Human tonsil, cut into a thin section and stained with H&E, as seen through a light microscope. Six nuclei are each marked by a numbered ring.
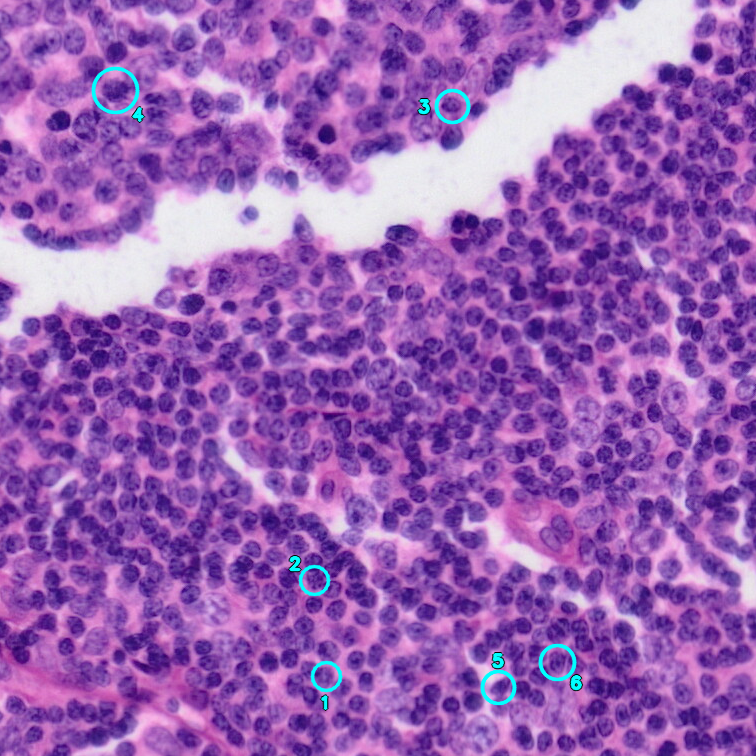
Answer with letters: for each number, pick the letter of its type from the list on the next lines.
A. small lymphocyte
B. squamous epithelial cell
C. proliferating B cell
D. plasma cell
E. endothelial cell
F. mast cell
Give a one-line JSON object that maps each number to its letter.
{"1": "A", "2": "A", "3": "C", "4": "C", "5": "A", "6": "A"}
